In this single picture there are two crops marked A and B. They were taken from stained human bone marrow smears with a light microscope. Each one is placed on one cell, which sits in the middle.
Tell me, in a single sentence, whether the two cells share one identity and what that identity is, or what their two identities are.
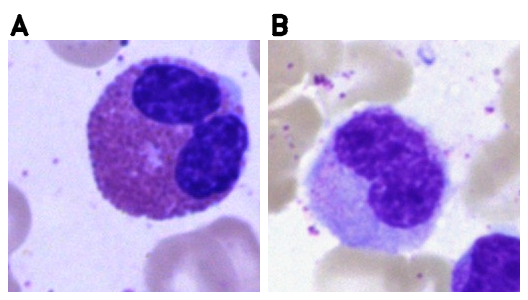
No, crop A holds an eosinophil, and a metamyelocyte occupies crop B.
